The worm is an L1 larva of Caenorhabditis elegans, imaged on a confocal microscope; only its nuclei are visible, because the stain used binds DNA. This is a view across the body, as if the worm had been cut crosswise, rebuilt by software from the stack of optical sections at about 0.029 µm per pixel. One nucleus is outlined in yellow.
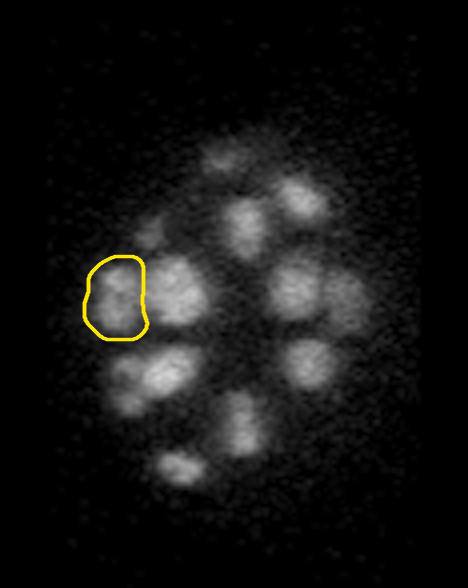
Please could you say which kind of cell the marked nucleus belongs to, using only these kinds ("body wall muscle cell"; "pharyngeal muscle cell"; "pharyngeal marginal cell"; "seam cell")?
seam cell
